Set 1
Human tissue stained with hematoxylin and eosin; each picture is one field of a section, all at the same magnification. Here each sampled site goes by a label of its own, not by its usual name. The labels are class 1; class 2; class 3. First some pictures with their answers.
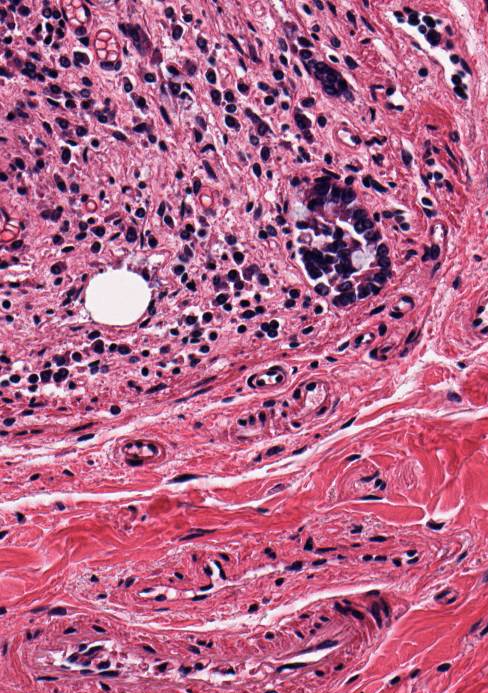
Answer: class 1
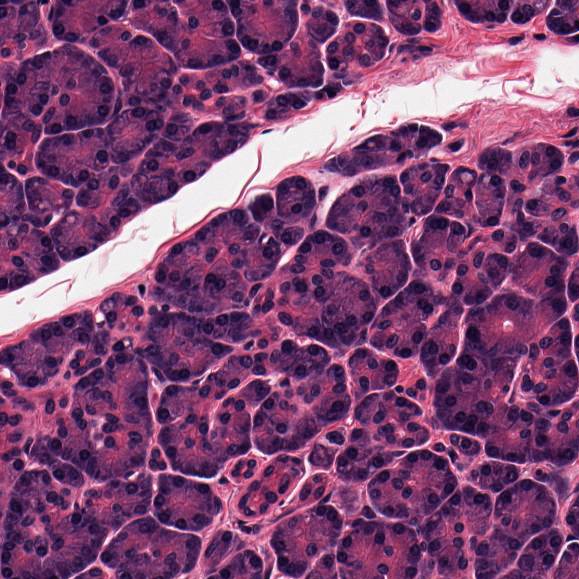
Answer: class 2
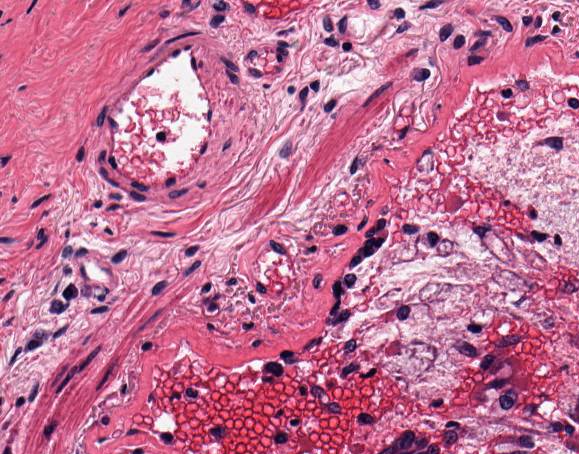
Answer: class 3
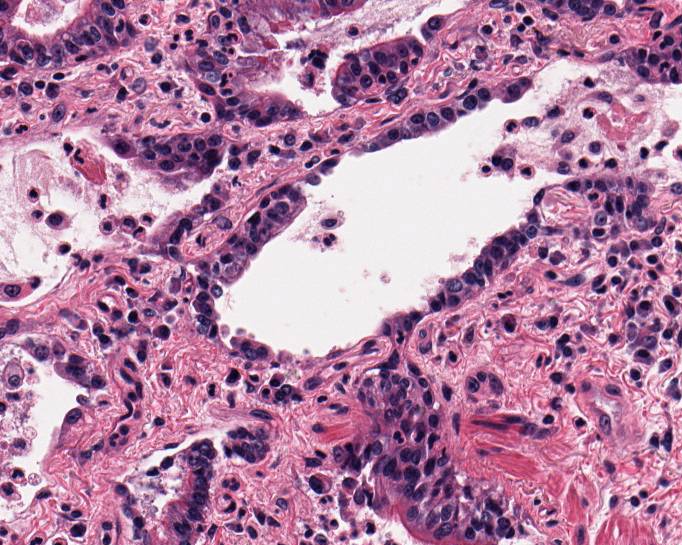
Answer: class 3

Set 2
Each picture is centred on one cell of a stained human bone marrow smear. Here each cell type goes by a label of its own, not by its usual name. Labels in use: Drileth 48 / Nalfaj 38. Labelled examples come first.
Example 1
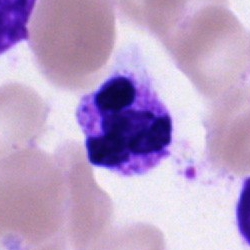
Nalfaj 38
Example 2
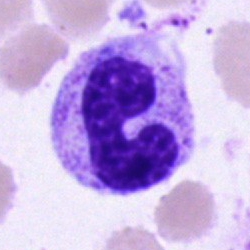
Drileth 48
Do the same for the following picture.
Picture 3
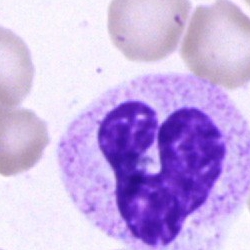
Drileth 48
